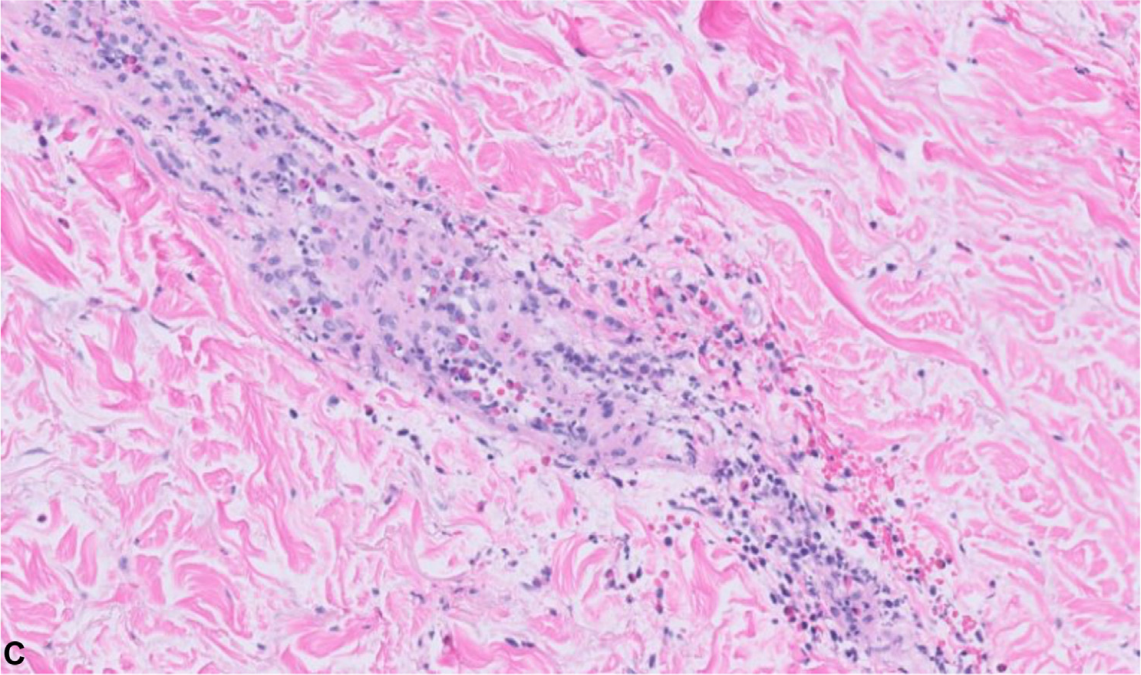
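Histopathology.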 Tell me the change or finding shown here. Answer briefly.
Extravasated erythrocytes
